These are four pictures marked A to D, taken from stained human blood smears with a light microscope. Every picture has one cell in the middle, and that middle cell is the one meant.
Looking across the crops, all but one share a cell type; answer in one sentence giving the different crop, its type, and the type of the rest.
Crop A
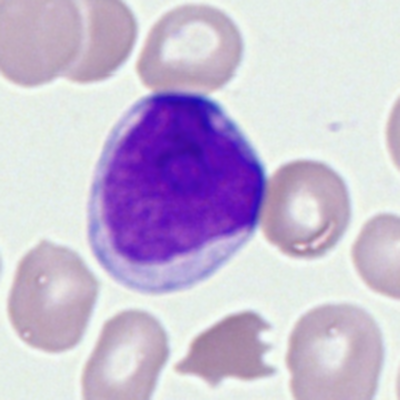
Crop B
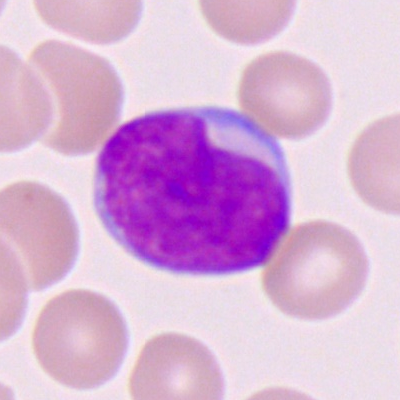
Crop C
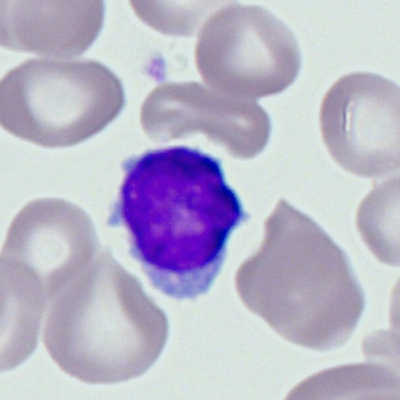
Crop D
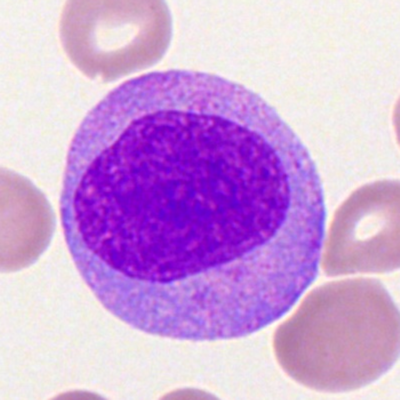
Crop C is the one to flag: it is a lymphocyte, and the rest show myeloblasts.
